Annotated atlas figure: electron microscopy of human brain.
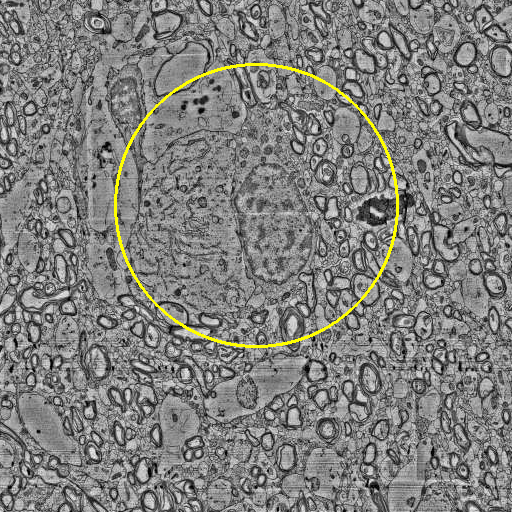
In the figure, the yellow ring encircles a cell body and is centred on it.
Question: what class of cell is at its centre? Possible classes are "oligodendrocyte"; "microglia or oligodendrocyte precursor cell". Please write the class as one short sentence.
The yellow ring is drawn around an oligodendrocyte.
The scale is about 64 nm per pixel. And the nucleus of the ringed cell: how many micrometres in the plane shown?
Roughly 8 by 5 micrometres is the size of the nucleus in this plane.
